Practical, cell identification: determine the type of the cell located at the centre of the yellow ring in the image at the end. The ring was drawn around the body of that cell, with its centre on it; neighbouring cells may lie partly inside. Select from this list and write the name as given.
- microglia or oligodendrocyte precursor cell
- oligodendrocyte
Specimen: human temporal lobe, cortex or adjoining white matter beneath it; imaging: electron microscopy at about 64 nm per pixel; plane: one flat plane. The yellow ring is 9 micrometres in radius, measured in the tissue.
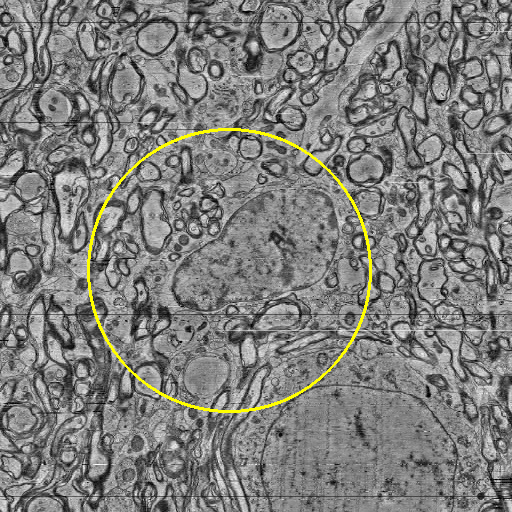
microglia or oligodendrocyte precursor cell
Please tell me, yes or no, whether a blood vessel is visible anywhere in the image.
No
